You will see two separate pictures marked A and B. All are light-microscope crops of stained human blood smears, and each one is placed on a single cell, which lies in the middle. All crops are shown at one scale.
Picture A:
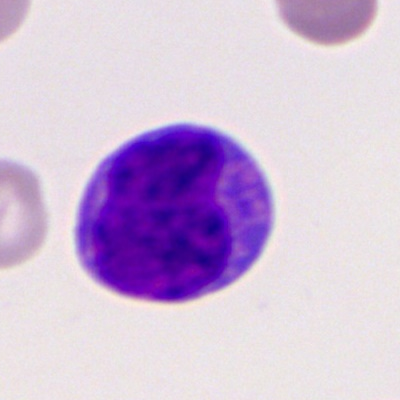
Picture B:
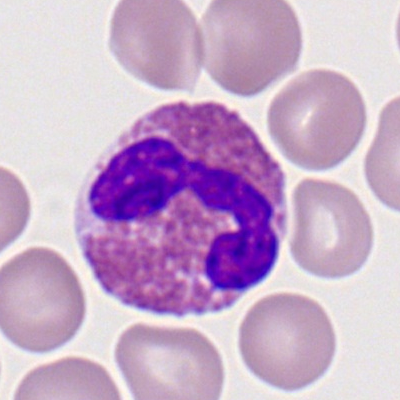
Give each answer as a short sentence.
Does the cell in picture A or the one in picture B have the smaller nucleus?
The nucleus in picture B is smaller; the one in picture A has about 1.5 times its area.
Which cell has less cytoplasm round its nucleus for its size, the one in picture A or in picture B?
It is the cell in picture A that is filled more by its nucleus.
